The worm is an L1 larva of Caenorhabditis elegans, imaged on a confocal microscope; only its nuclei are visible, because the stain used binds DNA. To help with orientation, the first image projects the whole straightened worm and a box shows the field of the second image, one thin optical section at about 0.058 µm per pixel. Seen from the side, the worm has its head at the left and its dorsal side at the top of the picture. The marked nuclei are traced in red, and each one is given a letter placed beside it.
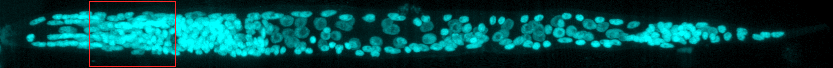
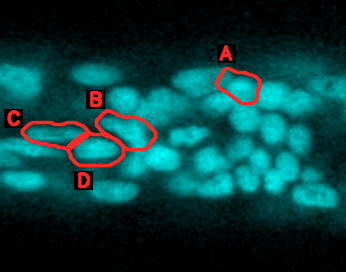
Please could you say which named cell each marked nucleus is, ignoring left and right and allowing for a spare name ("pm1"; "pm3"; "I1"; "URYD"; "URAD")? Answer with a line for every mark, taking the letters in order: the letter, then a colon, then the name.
A: URAD
B: pm1
C: pm3
D: I1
